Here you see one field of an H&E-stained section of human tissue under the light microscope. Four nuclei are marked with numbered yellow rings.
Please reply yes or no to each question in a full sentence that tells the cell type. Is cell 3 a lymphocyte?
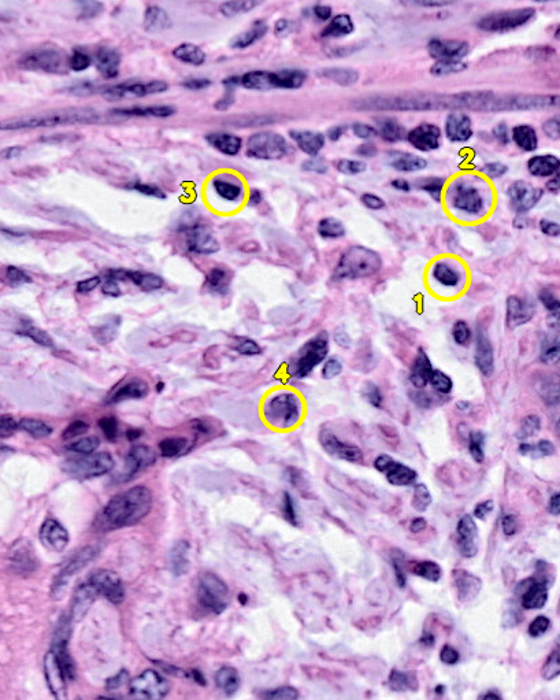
Yes, the cell that bears the number 3 is a lymphocyte.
